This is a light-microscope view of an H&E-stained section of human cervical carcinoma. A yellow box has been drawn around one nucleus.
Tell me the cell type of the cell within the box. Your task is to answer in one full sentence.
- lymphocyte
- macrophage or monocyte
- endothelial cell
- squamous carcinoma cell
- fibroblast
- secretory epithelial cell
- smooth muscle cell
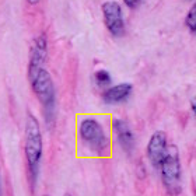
In this section, the cell within the box is a smooth muscle cell.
